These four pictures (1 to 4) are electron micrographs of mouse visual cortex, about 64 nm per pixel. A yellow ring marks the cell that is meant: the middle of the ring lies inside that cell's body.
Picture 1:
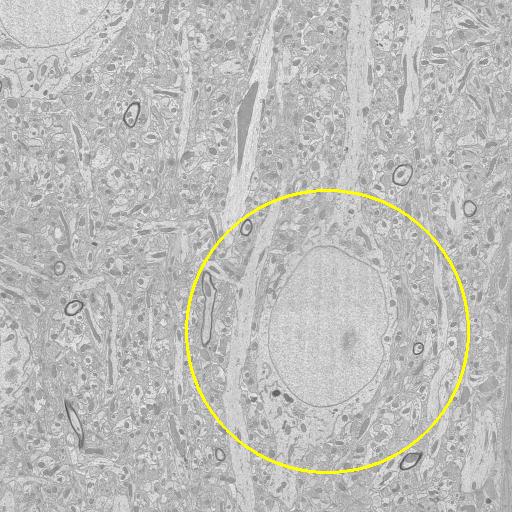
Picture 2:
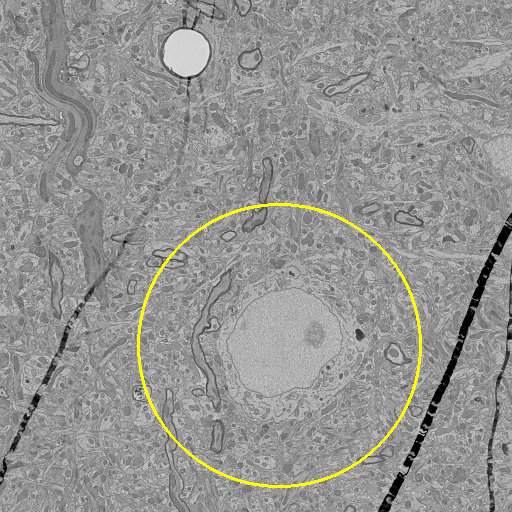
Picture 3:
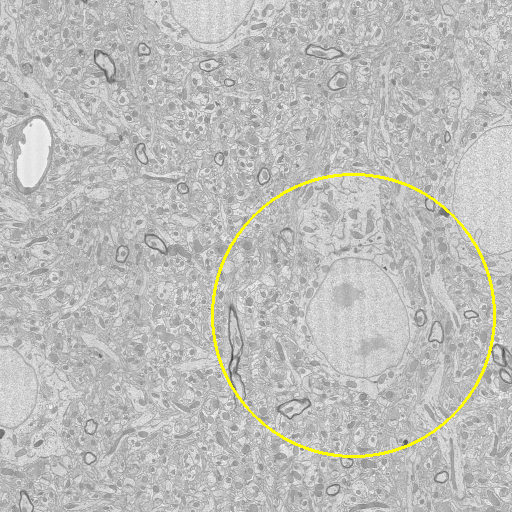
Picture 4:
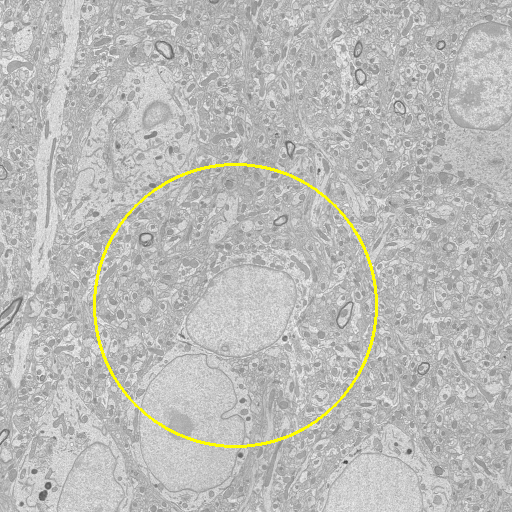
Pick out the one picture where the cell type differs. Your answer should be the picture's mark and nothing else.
4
